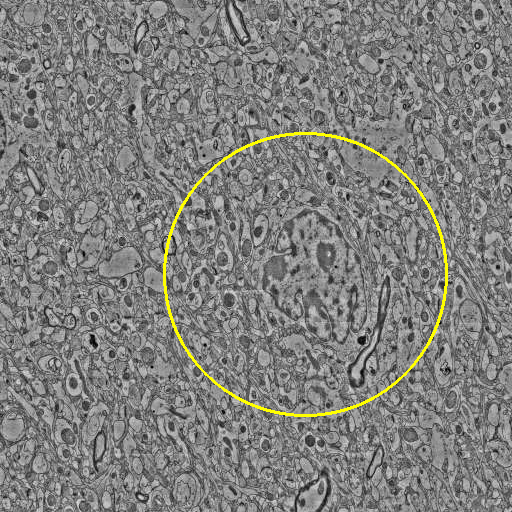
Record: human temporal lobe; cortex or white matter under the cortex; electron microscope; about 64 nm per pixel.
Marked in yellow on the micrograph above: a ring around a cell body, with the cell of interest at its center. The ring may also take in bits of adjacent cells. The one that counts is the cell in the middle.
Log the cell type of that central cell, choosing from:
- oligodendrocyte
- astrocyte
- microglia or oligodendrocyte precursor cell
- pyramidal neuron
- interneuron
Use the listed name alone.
microglia or oligodendrocyte precursor cell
